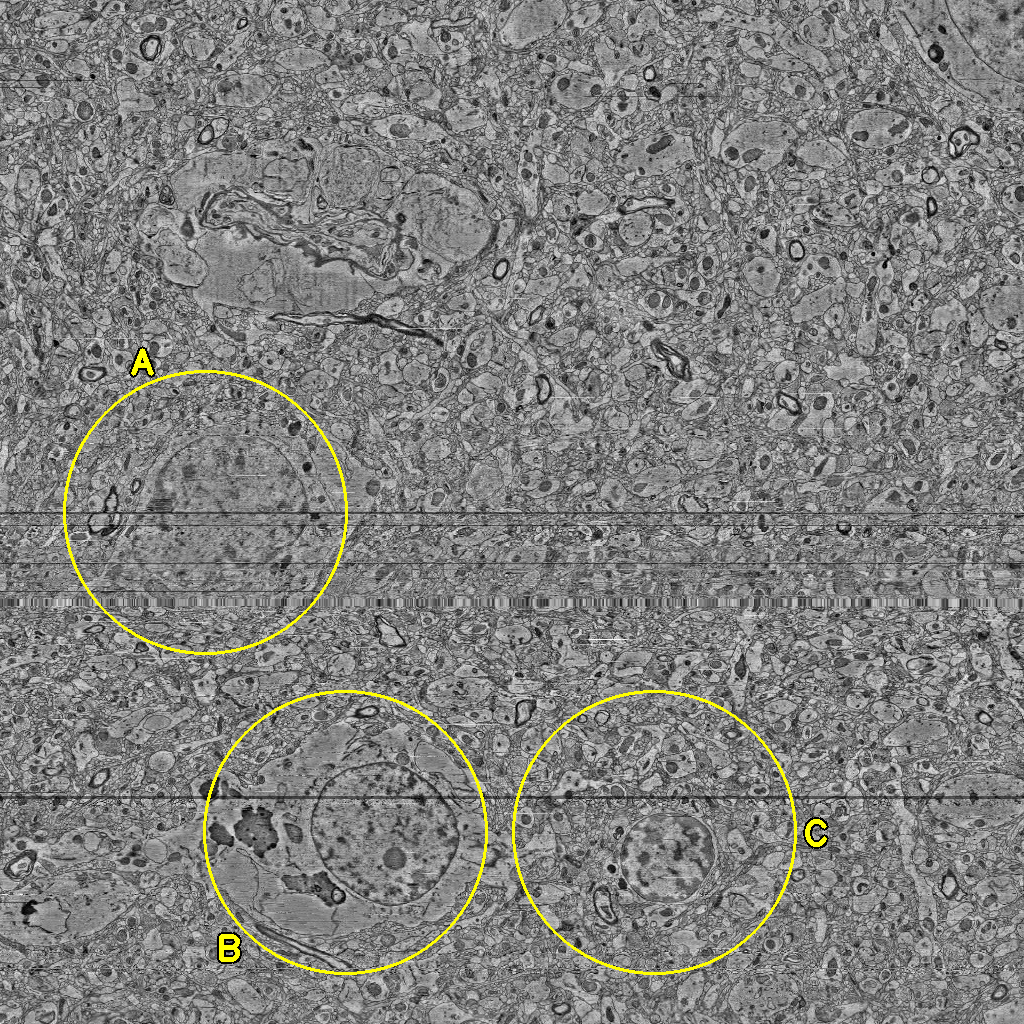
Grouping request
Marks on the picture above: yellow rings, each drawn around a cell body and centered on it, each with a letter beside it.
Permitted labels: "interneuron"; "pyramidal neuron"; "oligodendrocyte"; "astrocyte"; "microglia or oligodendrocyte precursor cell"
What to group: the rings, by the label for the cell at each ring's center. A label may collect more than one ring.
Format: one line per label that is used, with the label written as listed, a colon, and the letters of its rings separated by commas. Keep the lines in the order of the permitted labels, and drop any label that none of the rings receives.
interneuron: A
astrocyte: B
microglia or oligodendrocyte precursor cell: C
